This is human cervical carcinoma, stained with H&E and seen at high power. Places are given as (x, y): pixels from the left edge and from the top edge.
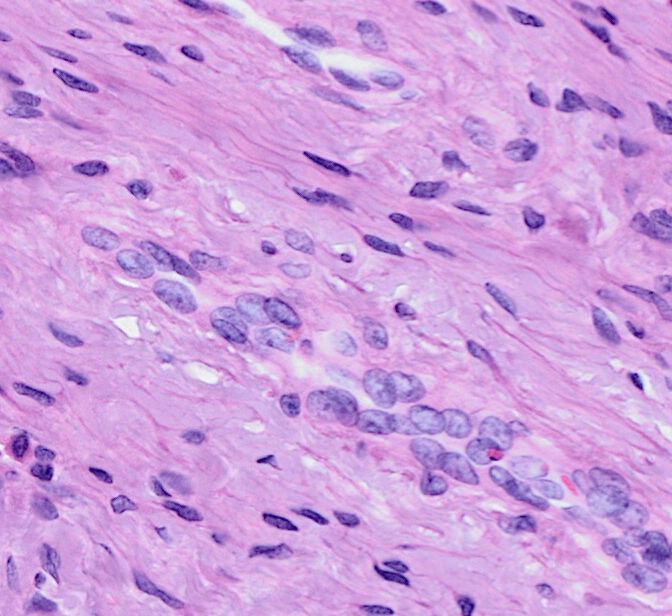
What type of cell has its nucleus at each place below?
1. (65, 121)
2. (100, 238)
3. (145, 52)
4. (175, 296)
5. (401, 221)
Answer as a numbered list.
1. fibroblast
2. endothelial cell
3. fibroblast
4. endothelial cell
5. fibroblast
